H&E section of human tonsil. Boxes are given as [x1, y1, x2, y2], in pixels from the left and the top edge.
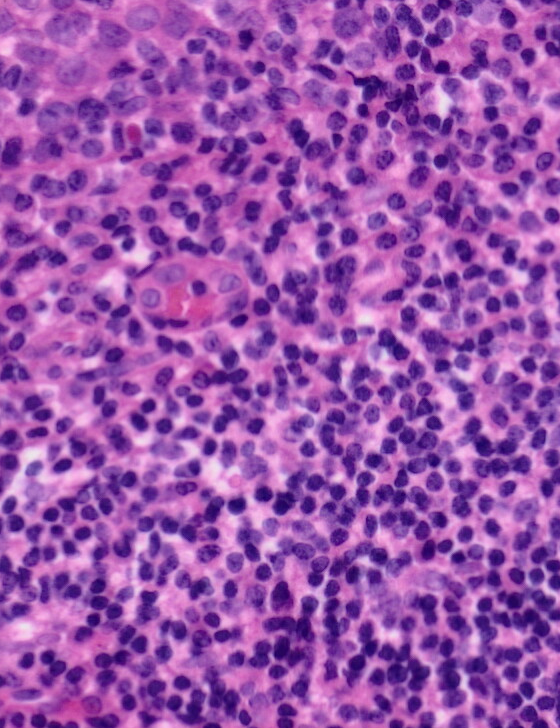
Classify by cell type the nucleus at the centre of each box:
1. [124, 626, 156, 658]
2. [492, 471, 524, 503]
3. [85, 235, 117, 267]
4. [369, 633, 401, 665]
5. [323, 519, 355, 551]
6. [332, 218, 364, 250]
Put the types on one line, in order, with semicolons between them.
small lymphocyte; small lymphocyte; plasma cell; small lymphocyte; small lymphocyte; plasma cell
